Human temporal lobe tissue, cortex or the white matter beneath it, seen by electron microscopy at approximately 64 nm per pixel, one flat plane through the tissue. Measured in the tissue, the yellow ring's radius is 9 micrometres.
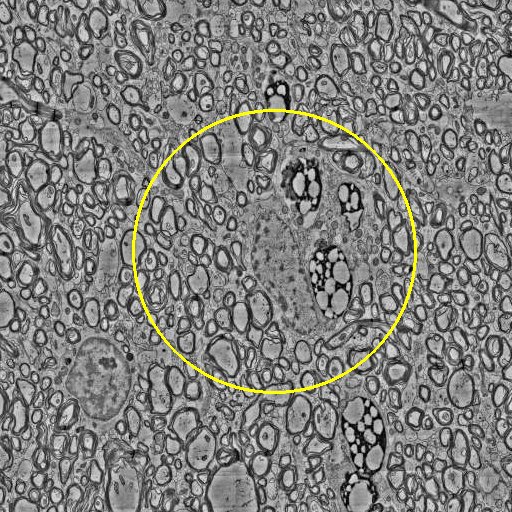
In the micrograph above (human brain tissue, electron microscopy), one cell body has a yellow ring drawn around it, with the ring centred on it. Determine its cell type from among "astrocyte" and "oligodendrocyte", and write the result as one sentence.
The cell whose body is ringed is an astrocyte.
